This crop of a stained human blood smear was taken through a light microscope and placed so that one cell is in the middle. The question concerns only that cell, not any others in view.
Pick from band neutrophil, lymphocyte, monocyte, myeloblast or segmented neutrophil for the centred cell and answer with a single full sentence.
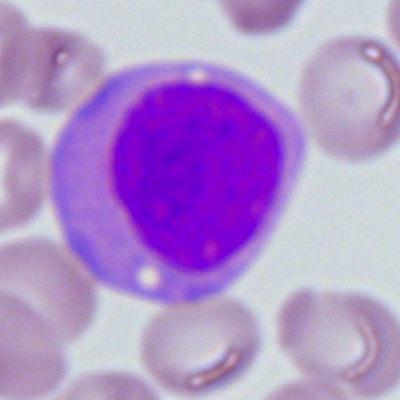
The cell marked by its central position in the crop is a myeloblast.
